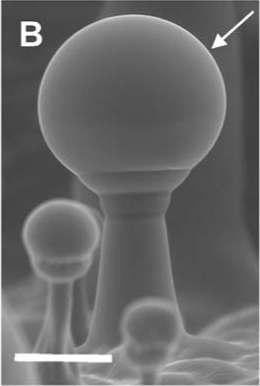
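The stalk carries a large, smooth, nearly spherical head. A narrow collar-like ring separates the head from the top of the stalk. The outer surface of the head is continuous and even.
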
